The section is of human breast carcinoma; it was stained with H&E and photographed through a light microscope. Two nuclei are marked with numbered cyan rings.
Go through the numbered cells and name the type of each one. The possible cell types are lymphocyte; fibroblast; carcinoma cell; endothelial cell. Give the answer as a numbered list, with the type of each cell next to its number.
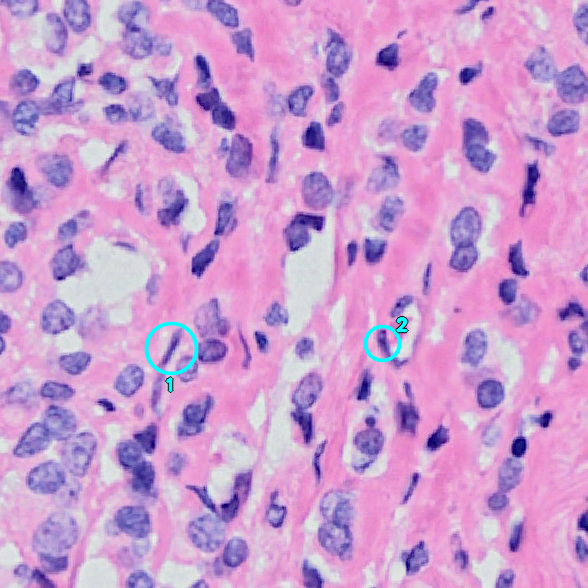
1. fibroblast
2. endothelial cell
